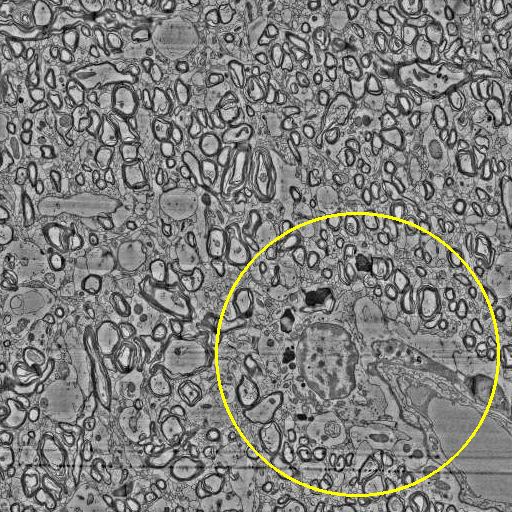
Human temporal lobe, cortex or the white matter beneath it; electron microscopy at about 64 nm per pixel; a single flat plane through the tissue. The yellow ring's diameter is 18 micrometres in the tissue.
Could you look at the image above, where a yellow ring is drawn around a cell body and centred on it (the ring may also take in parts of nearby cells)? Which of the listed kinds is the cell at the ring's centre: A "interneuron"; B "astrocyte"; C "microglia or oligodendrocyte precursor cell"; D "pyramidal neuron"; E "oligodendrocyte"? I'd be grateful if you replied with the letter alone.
C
